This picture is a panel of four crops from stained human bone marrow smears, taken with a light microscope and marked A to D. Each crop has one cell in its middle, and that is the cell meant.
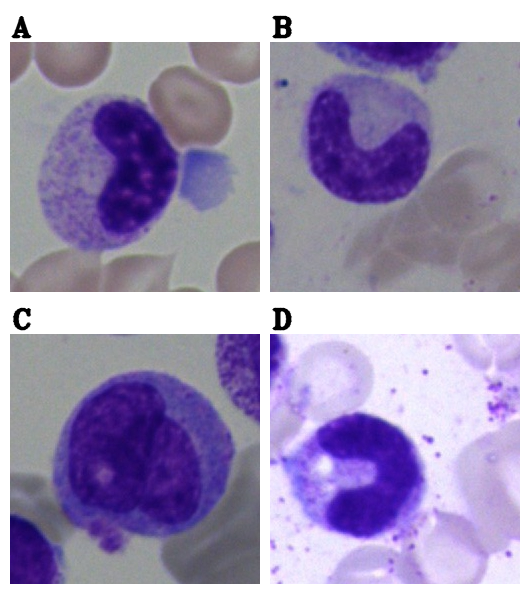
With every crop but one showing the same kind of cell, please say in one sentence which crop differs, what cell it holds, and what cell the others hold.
Unlike the other crops, all showing band neutrophils, crop C is a monocyte.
